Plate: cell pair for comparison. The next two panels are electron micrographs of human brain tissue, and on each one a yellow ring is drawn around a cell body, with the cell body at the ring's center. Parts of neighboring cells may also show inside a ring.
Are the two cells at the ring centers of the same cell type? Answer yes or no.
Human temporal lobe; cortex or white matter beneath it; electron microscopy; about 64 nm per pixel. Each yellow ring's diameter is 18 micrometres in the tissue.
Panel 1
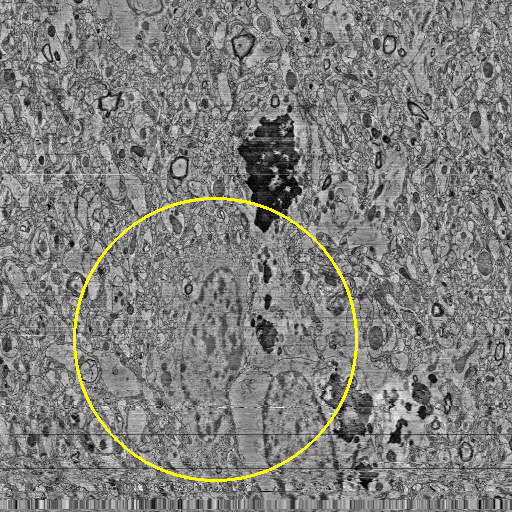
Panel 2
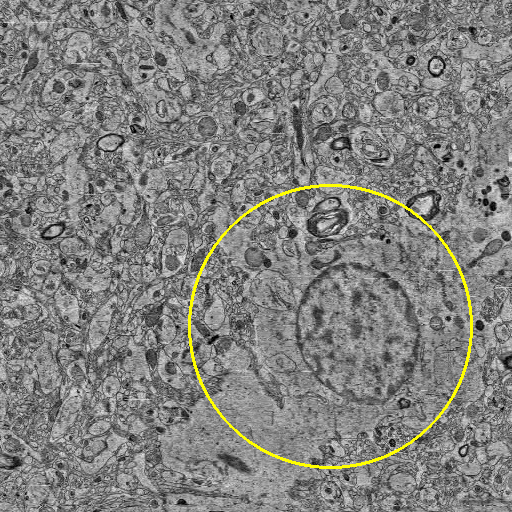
no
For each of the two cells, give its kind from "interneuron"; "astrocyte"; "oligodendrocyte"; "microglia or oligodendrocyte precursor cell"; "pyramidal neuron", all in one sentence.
The first picture has a microglial cell or oligodendrocyte precursor cell in its ring, the second has an astrocyte.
